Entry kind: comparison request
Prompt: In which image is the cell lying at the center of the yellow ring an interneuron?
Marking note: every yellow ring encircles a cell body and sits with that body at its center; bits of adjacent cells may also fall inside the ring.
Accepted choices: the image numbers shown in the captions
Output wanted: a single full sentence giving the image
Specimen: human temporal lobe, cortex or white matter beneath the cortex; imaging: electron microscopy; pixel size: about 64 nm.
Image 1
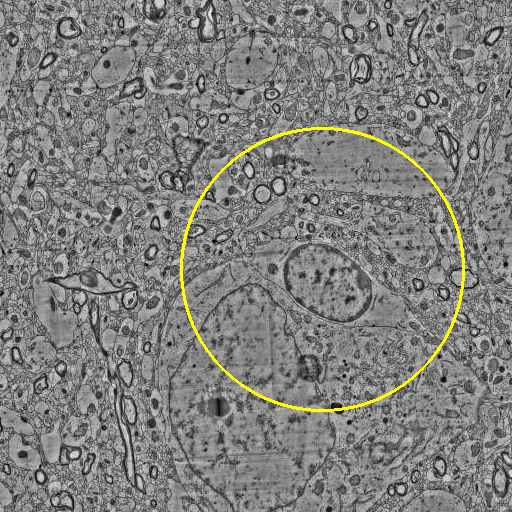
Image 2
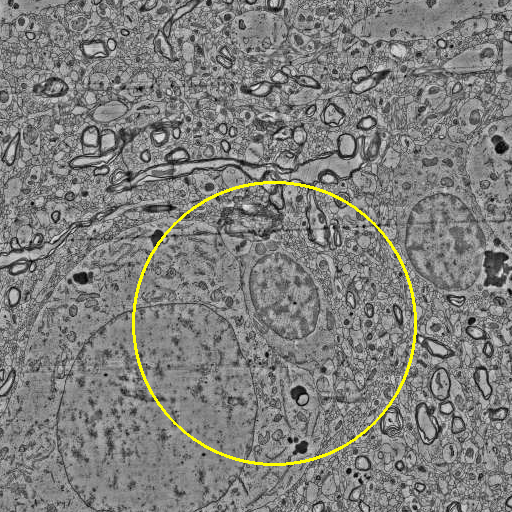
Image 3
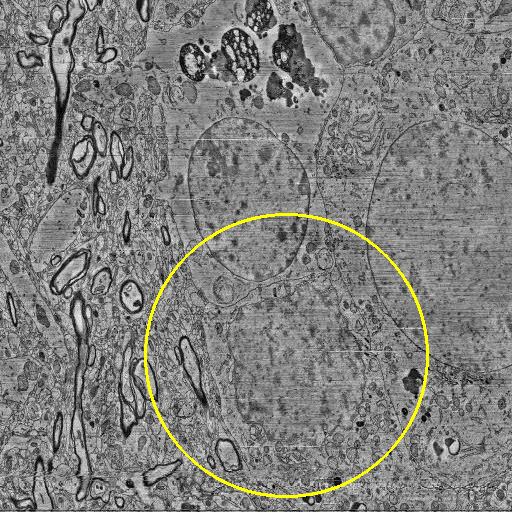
In image 3, the ringed cell at the center matches the prompt.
